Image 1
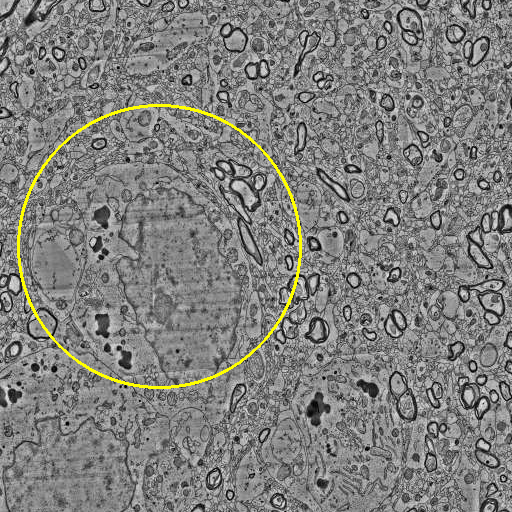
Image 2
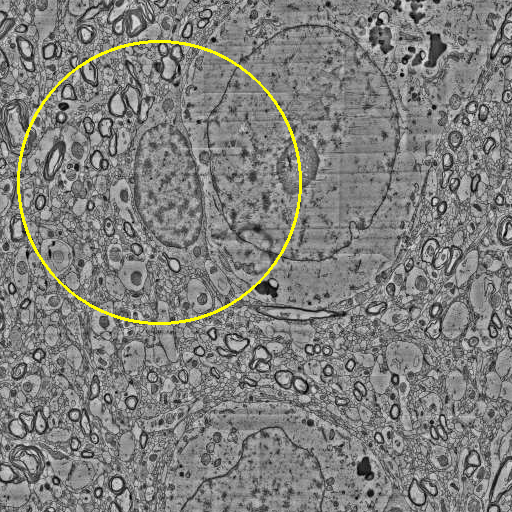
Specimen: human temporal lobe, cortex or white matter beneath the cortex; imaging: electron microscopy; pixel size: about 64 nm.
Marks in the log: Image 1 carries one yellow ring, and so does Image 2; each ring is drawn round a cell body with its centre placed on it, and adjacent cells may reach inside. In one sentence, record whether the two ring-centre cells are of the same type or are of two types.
The two cells at the ring centres, one in each image, are of two types.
